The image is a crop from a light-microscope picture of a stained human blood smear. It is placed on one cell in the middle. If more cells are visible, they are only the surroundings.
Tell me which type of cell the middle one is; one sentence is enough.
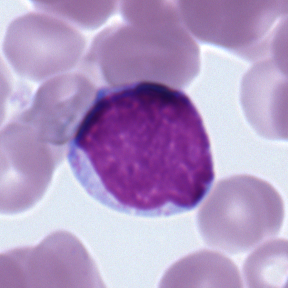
The cell in the middle of the field of view is a large granular lymphocyte.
